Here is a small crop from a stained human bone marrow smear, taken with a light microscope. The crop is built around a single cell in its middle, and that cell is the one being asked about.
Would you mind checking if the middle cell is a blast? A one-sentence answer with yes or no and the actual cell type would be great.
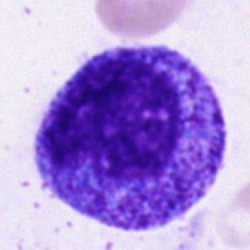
No, the cell in the middle is categorised as a promyelocyte, not a blast.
